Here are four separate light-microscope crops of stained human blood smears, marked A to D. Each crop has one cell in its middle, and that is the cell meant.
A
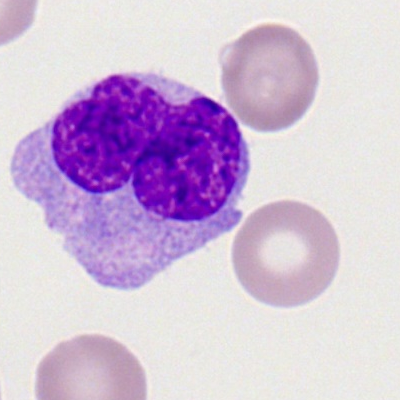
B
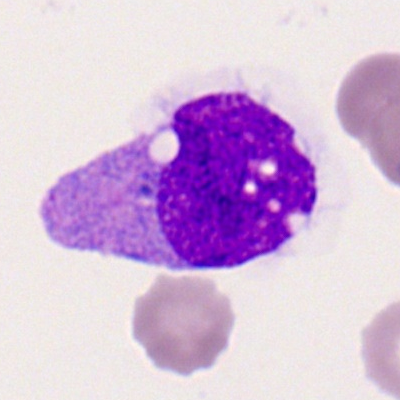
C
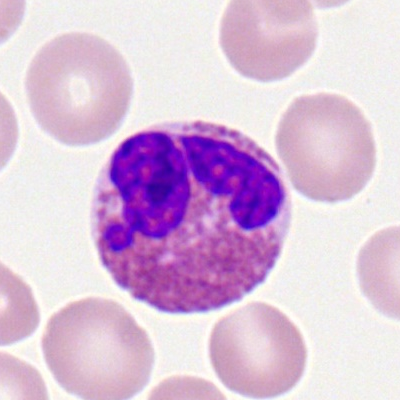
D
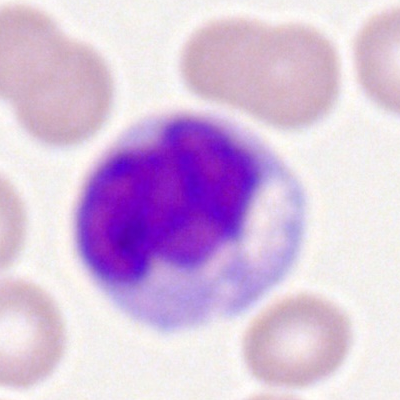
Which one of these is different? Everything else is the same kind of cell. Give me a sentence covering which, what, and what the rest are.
Just crop C is an eosinophil; all the other crops show monocytes.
